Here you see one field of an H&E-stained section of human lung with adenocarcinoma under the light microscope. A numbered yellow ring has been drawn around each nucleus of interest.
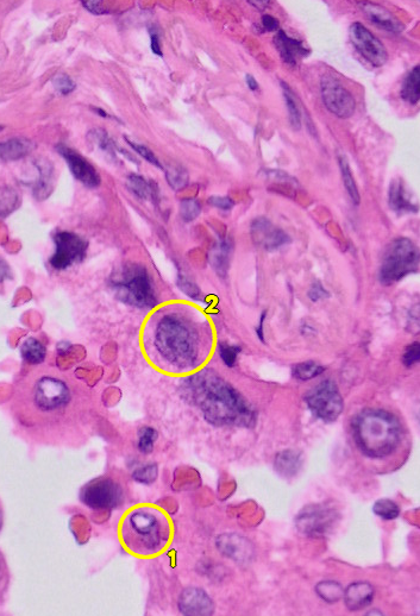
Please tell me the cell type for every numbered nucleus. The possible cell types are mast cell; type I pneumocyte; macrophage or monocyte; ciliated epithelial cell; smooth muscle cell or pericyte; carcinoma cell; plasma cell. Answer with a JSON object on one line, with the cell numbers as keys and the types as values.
{"1": "macrophage or monocyte", "2": "carcinoma cell"}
